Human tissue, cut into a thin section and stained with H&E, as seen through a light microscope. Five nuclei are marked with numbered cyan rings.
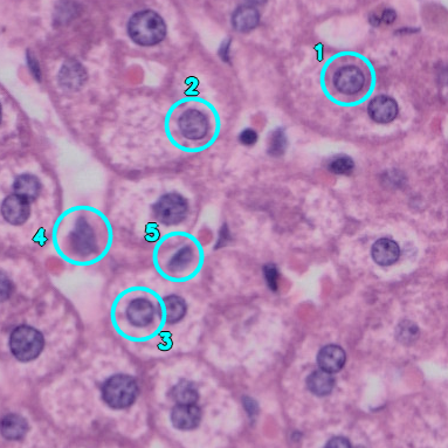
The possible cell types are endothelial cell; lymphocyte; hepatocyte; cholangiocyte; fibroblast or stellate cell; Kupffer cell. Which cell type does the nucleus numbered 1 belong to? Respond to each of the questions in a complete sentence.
The cell that is numbered 1 is a hepatocyte.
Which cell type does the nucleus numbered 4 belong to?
The cell identified by number 4 is a Kupffer cell.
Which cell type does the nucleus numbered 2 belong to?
The marked cell with the number 2 is recognised as a hepatocyte.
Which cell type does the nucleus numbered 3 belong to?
Recognised here as a hepatocyte is the cell numbered 3.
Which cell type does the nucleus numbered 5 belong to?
The cell pointed out as number 5 is an endothelial cell.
